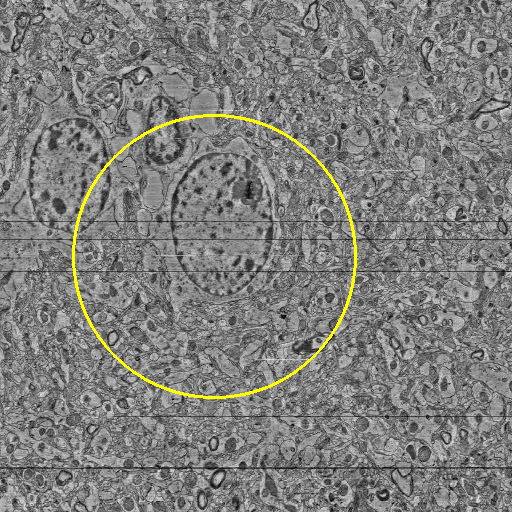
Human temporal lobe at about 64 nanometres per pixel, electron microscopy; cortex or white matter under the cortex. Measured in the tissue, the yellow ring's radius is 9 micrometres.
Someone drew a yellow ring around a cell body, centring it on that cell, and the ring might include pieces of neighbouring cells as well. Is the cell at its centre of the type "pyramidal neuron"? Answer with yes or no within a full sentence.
No, within the picture, the cell the ring is centred on is a different type.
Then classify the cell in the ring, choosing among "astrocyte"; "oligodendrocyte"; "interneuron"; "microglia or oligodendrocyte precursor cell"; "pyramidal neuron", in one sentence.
The cell in the ring is an astrocyte instead.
